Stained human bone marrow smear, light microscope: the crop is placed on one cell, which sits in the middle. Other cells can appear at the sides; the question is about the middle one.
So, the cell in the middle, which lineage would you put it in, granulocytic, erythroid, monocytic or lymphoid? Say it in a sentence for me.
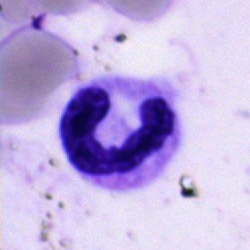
The cell that sits at the center is attributed to the granulocytic lineage.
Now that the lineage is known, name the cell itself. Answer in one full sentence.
Present in the middle of the crop is a segmented neutrophil.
